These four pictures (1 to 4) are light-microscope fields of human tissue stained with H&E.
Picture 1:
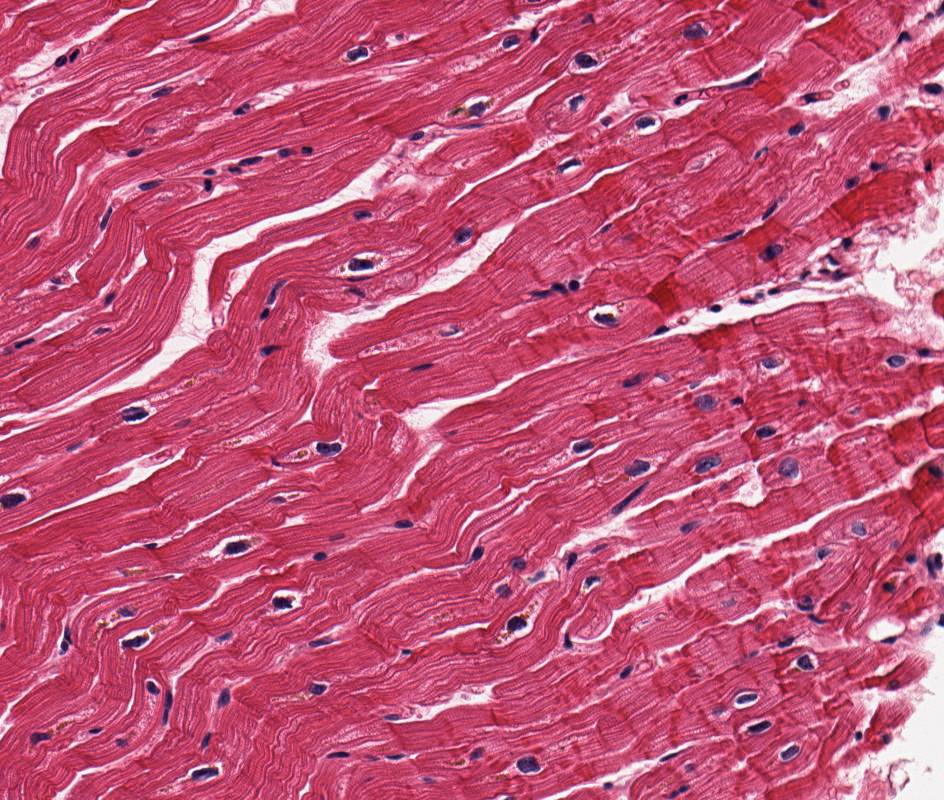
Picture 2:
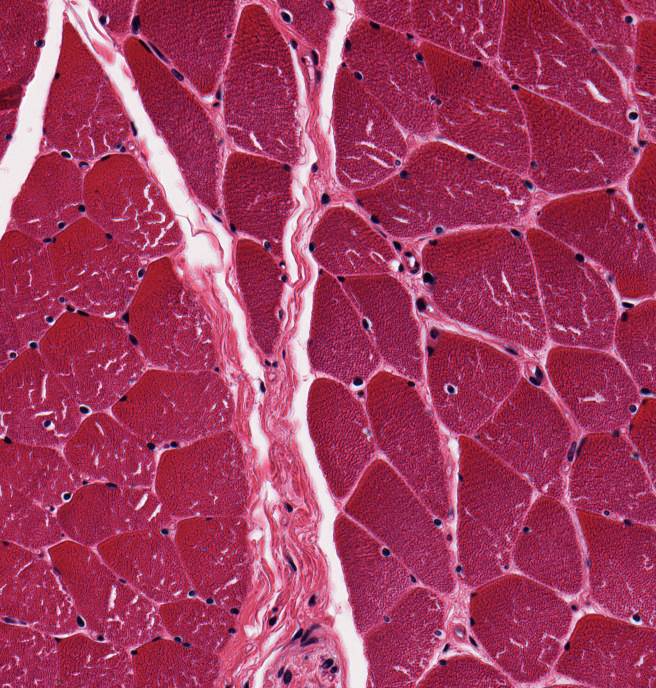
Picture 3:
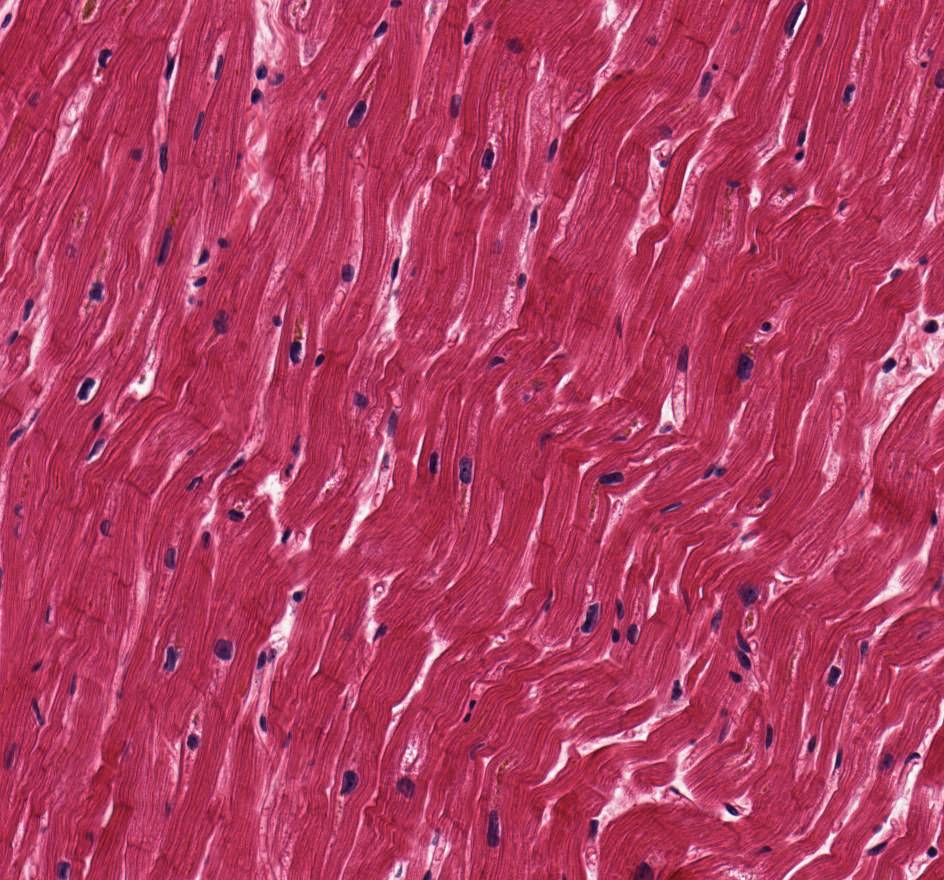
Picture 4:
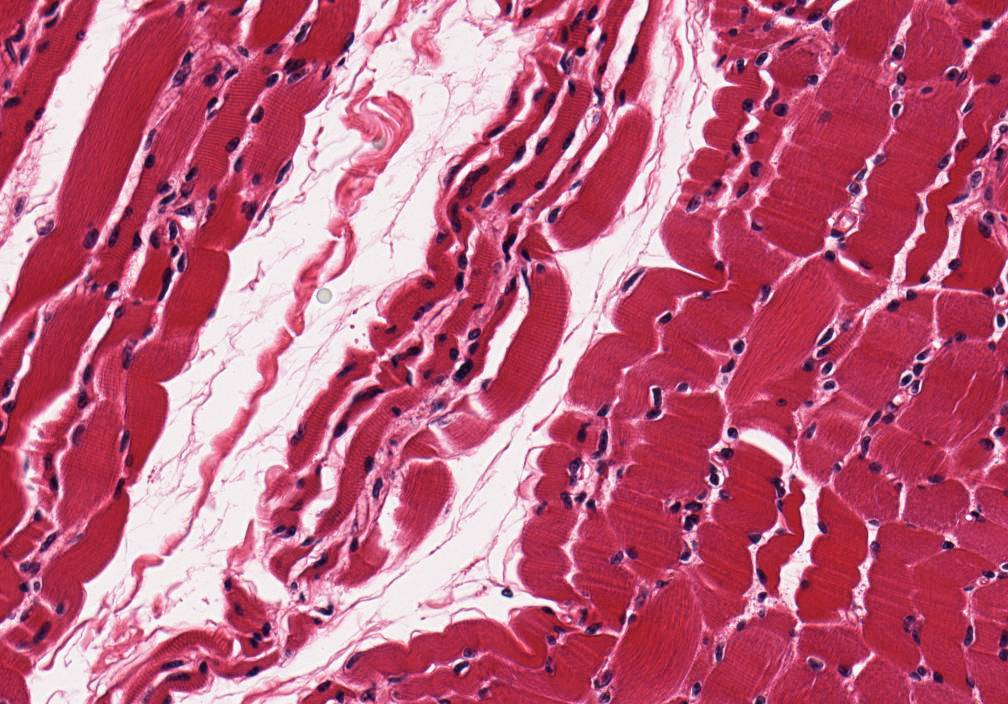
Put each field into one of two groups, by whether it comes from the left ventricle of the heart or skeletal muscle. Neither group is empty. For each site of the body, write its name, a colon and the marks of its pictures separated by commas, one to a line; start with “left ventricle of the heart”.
left ventricle of the heart: 1, 3
skeletal muscle: 2, 4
